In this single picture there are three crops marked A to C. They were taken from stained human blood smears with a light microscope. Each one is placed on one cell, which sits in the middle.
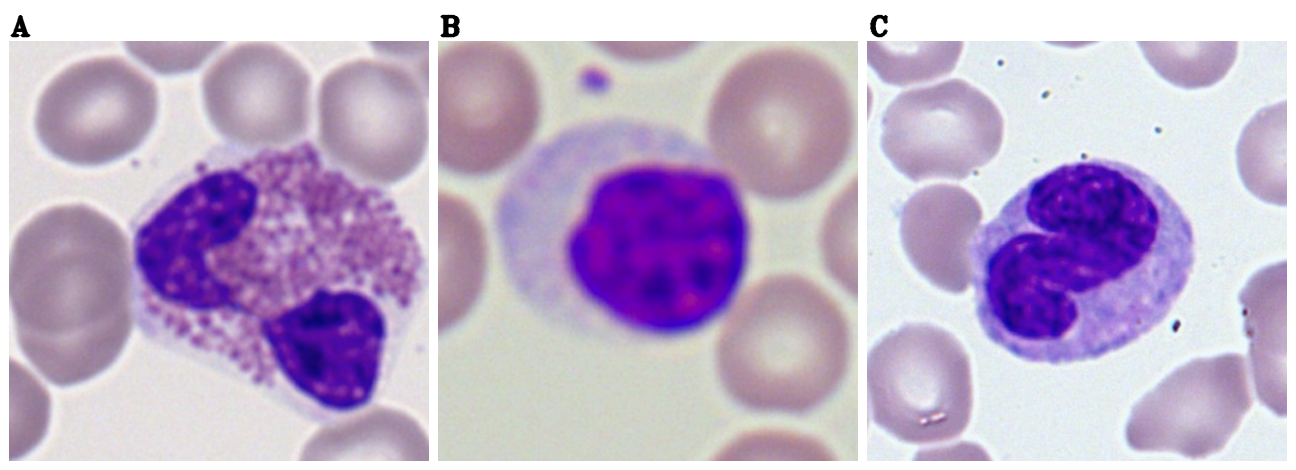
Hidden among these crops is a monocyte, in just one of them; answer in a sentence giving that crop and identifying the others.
So crop C shows a monocyte, while crop A is an eosinophil and crop B is a lymphocyte.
